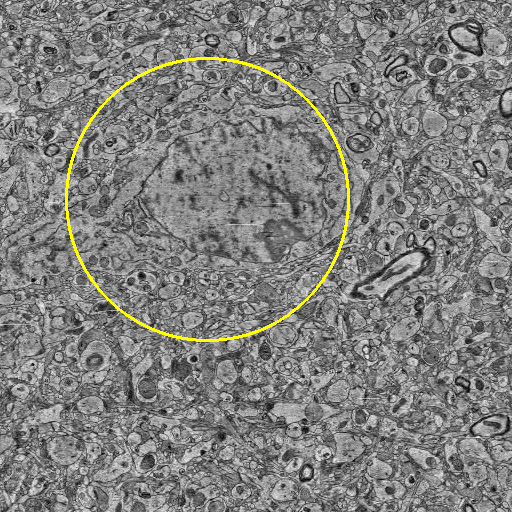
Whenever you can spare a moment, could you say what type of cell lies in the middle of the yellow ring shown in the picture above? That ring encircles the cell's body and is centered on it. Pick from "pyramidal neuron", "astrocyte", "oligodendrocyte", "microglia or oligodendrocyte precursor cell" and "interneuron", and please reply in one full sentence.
The cell whose body sits at the middle of the yellow ring is an interneuron.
